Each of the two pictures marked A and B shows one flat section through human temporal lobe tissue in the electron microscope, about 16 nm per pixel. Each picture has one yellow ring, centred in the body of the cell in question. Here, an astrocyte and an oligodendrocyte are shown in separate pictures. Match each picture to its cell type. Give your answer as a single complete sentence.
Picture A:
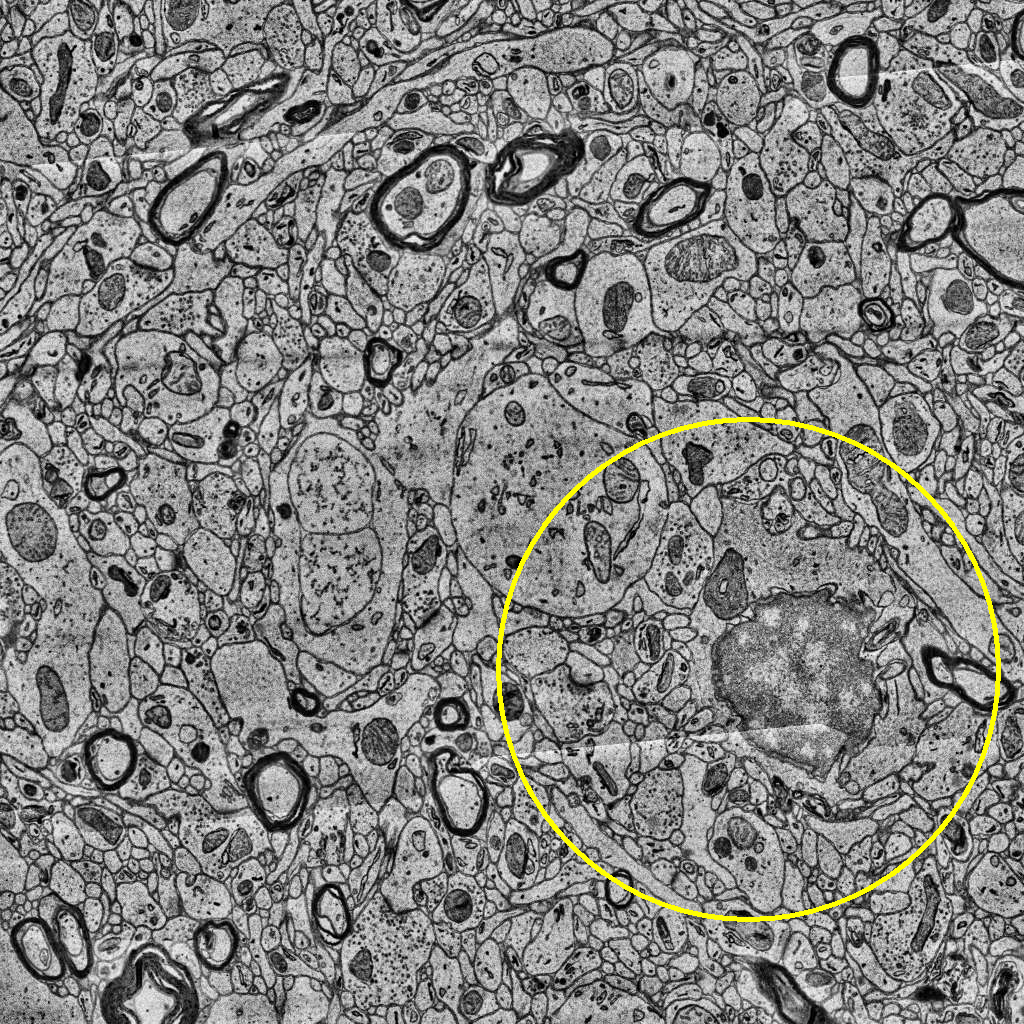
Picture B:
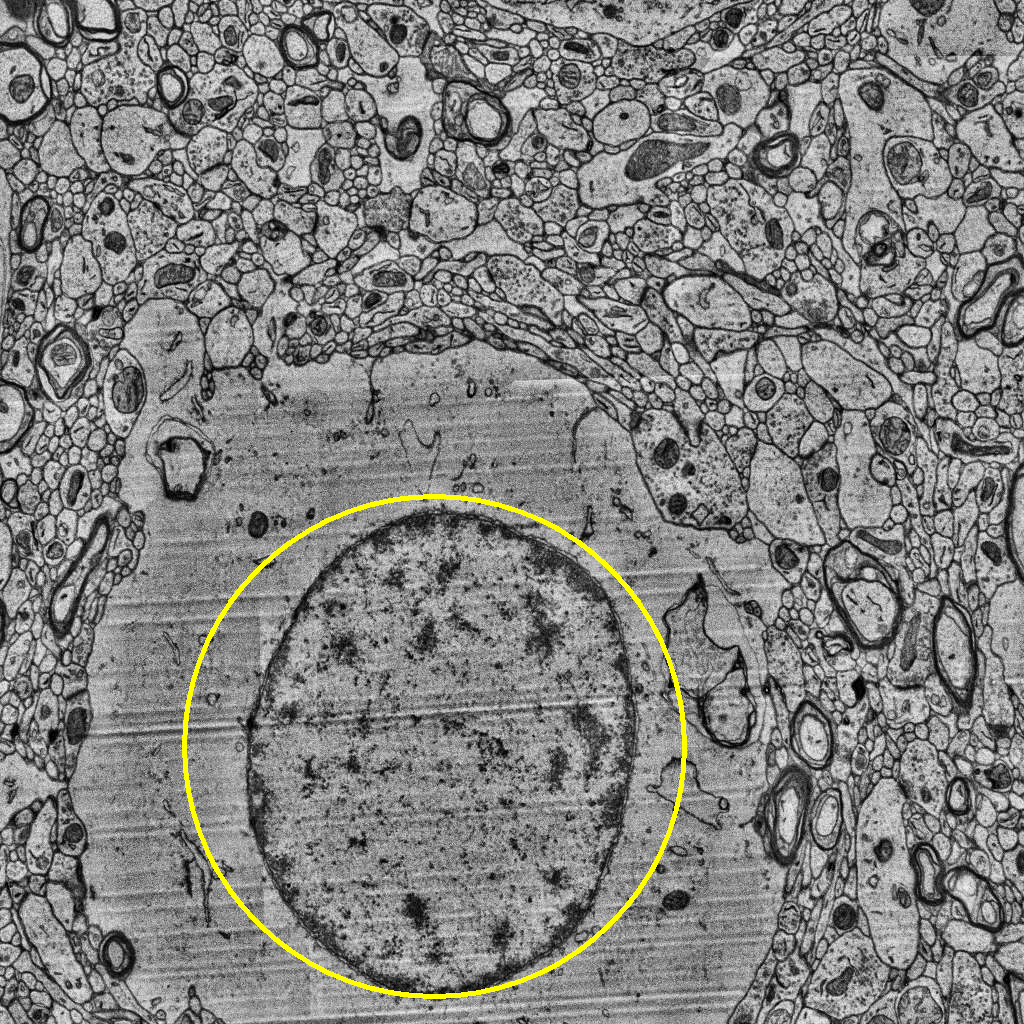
It is picture A that shows an oligodendrocyte, and picture B that shows an astrocyte.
